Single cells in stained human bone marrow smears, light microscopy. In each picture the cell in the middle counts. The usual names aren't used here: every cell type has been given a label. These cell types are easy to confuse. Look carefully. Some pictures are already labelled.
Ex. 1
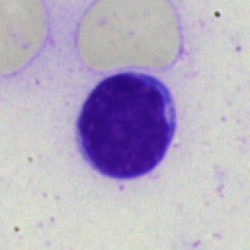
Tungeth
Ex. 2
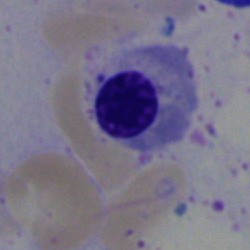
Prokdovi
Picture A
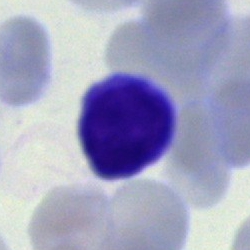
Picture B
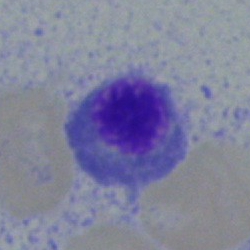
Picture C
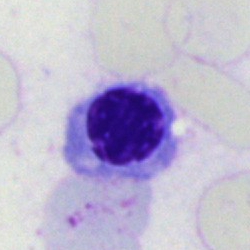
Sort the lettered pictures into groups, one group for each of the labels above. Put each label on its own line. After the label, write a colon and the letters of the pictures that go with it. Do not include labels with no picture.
Tungeth: A
Prokdovi: B, C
